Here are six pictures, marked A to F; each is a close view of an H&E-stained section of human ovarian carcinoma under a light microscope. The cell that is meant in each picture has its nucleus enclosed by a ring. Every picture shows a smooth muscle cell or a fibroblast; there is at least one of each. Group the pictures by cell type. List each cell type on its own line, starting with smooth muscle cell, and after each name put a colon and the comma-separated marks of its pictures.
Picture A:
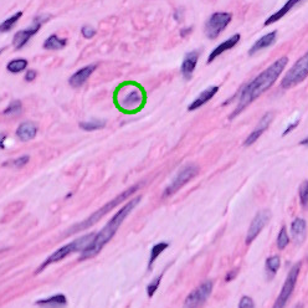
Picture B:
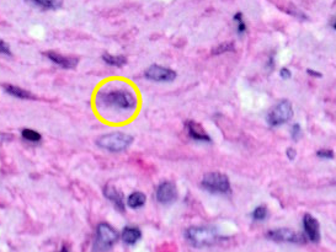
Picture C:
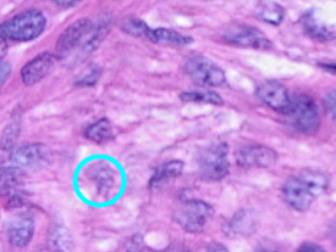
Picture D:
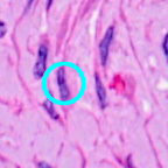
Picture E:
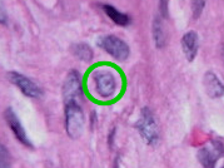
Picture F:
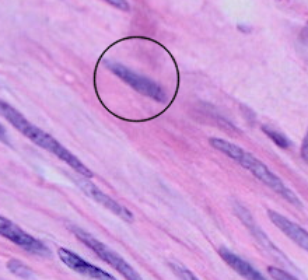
smooth muscle cell: A, F
fibroblast: B, C, D, E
